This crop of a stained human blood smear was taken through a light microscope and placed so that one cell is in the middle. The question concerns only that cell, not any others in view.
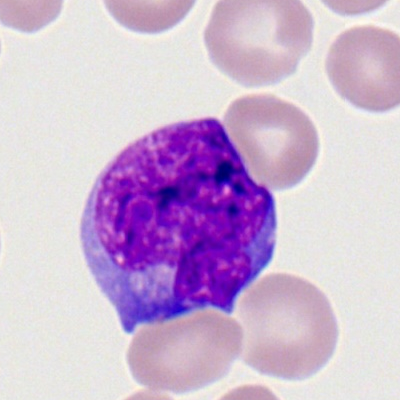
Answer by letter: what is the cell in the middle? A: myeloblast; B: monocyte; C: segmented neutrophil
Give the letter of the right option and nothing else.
A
